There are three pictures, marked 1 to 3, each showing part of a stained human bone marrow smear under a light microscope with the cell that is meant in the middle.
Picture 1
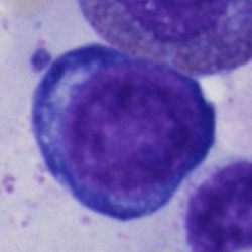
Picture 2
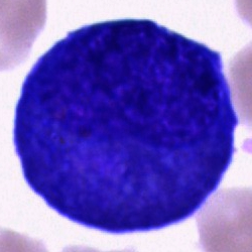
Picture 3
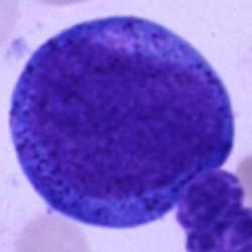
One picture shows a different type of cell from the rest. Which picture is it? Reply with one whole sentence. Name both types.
The different one is picture 1; it shows a proerythroblast, whereas all the others show promyelocytes.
